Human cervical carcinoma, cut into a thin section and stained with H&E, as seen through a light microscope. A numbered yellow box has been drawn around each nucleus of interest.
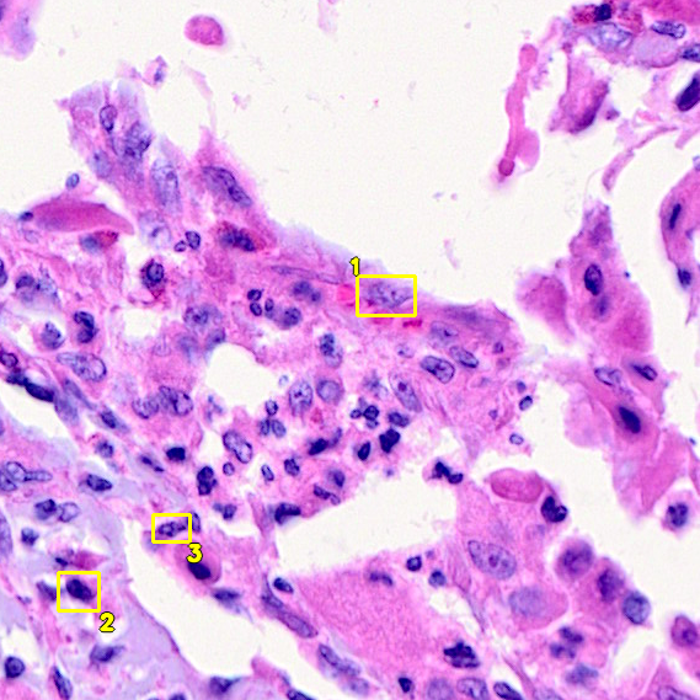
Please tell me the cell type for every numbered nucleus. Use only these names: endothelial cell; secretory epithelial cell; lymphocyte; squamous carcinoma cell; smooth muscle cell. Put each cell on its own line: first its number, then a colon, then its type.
1: endothelial cell
2: lymphocyte
3: lymphocyte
